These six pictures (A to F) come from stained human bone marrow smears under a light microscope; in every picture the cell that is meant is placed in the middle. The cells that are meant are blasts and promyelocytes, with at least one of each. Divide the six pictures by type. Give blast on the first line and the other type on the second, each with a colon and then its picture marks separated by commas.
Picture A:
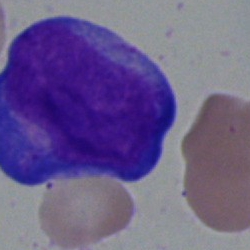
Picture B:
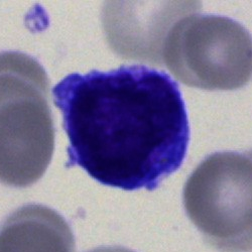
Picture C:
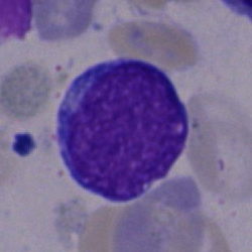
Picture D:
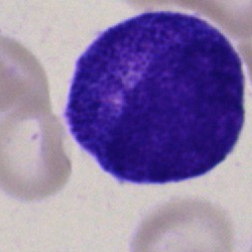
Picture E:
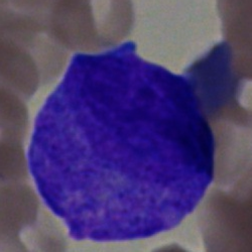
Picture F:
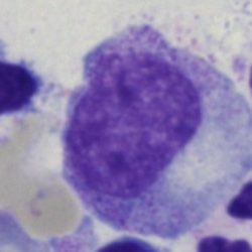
blast: A, B, C, E
promyelocyte: D, F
